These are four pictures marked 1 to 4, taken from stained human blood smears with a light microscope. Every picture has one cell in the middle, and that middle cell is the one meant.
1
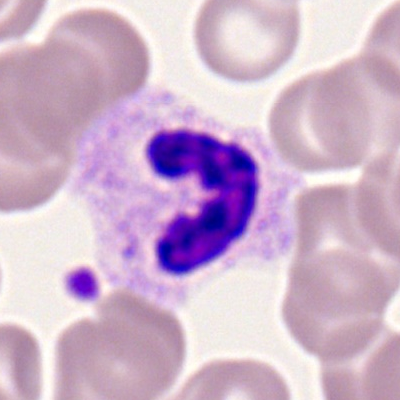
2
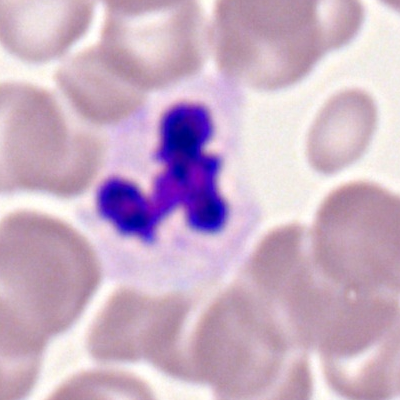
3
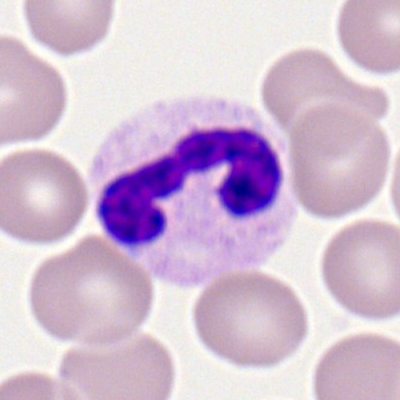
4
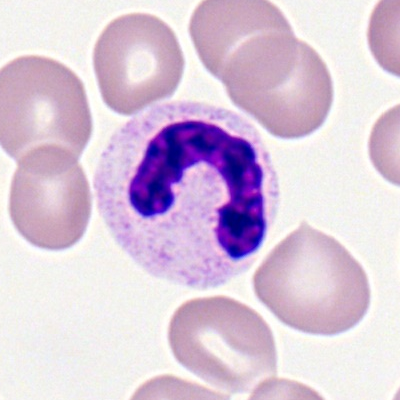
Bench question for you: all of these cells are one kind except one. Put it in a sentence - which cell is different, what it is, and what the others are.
Crop 2 alone shows a segmented neutrophil; the other crops are all band neutrophils.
